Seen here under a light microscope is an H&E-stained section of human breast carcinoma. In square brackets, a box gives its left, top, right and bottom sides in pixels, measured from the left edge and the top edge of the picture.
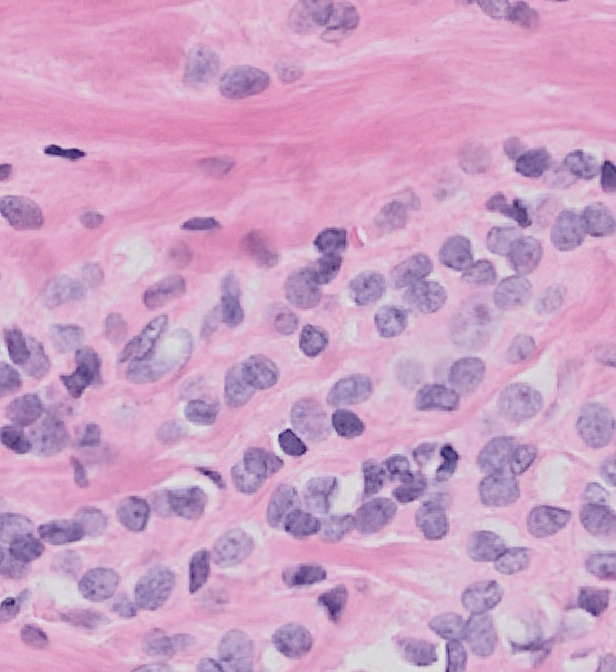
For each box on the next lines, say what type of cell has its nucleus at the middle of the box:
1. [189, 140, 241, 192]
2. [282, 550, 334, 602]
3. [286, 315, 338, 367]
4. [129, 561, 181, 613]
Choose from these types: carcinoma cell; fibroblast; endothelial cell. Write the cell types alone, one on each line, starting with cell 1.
fibroblast
carcinoma cell
carcinoma cell
carcinoma cell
